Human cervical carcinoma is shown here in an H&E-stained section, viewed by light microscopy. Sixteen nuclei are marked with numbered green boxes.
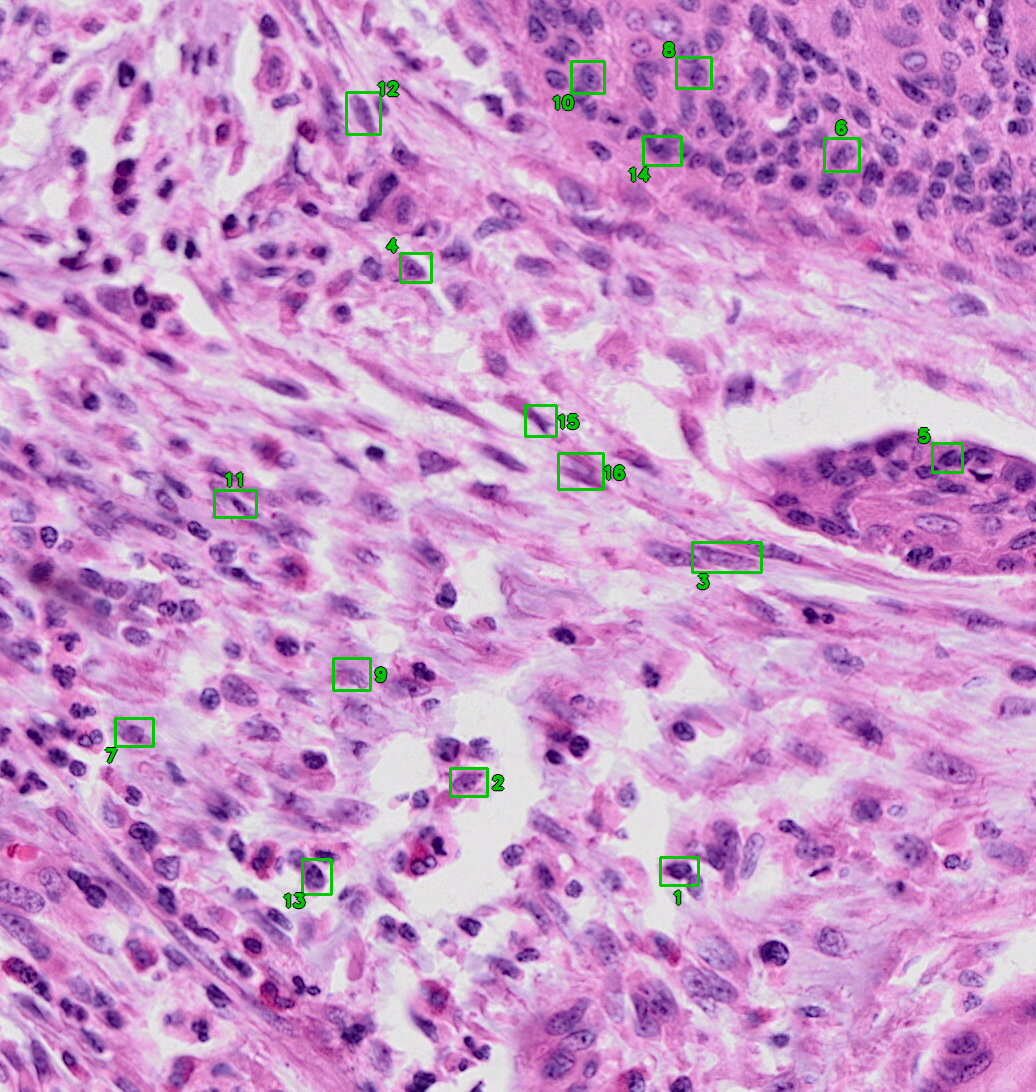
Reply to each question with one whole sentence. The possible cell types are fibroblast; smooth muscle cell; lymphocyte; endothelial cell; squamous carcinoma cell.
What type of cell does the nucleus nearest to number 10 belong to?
The nucleus nearest to number 10 is that of a squamous carcinoma cell.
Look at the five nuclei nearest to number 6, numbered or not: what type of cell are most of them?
Around number 6, most of the five nearest nuclei are those of squamous carcinoma cells.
